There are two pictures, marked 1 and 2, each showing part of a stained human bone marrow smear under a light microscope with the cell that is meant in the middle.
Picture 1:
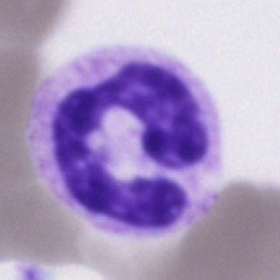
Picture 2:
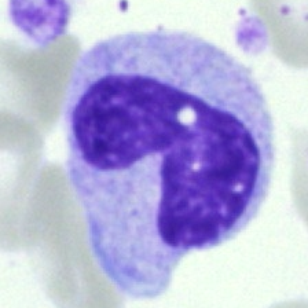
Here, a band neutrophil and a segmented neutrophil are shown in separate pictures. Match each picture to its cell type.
1: segmented neutrophil
2: band neutrophil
